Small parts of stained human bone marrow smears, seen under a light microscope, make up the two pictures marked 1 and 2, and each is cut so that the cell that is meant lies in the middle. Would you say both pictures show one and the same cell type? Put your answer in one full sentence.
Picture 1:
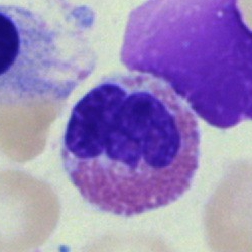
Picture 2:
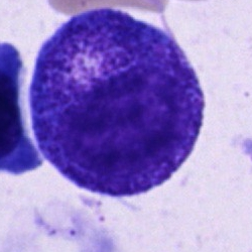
No, picture 1 shows an eosinophil and picture 2 shows a promyelocyte.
